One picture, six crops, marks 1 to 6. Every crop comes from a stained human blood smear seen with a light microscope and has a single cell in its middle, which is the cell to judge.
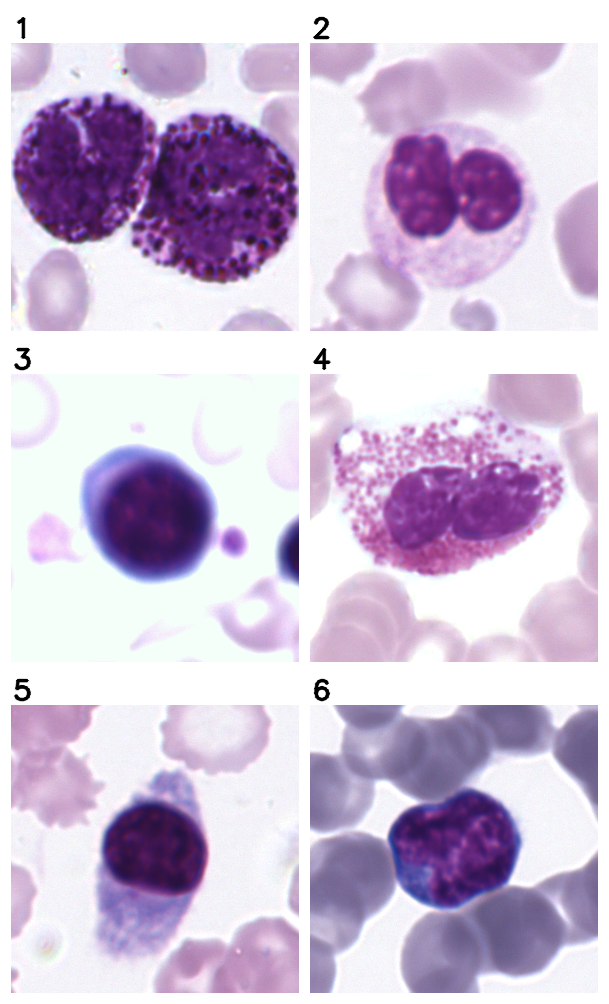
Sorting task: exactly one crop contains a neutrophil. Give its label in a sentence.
In this set, crop 2 is the one showing a neutrophil.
